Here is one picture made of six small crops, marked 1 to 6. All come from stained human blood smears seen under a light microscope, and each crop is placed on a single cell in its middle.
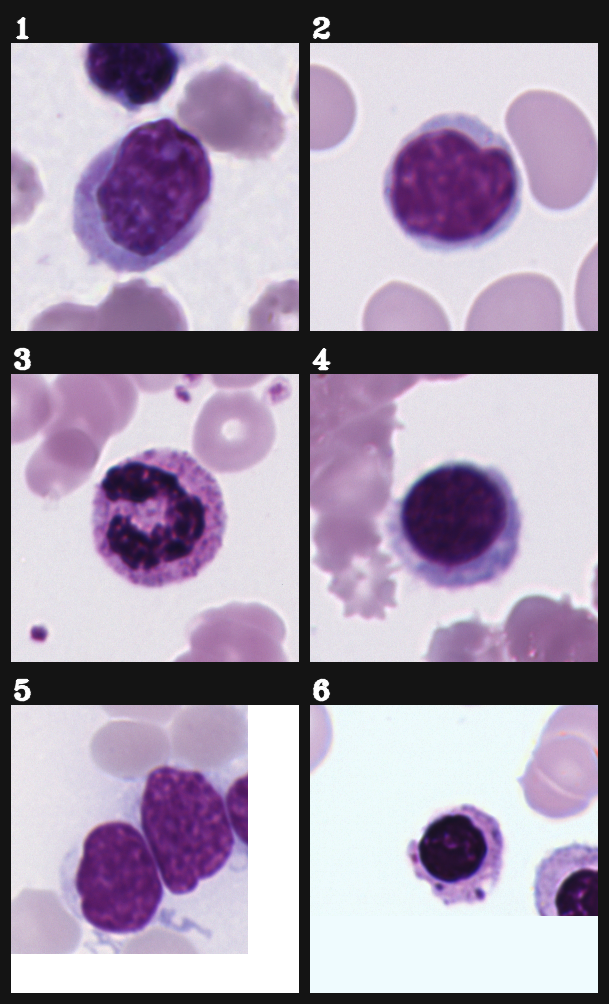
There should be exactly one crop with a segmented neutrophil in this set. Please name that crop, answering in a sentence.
Crop 3 is the crop that shows a segmented neutrophil in its middle.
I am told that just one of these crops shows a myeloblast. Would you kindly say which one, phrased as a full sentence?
Crop 5 is the one in this set that shows a myeloblast.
